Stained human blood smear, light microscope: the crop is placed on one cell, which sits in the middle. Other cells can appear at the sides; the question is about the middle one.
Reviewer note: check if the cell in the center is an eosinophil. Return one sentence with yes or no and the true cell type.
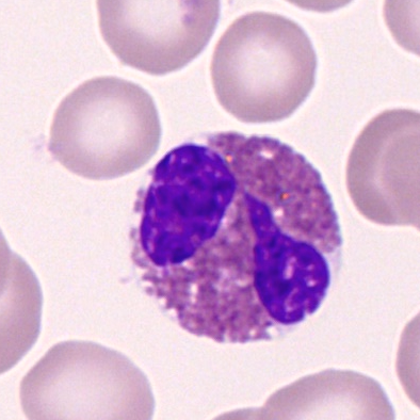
Yes, the cell shown in the middle is an eosinophil.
